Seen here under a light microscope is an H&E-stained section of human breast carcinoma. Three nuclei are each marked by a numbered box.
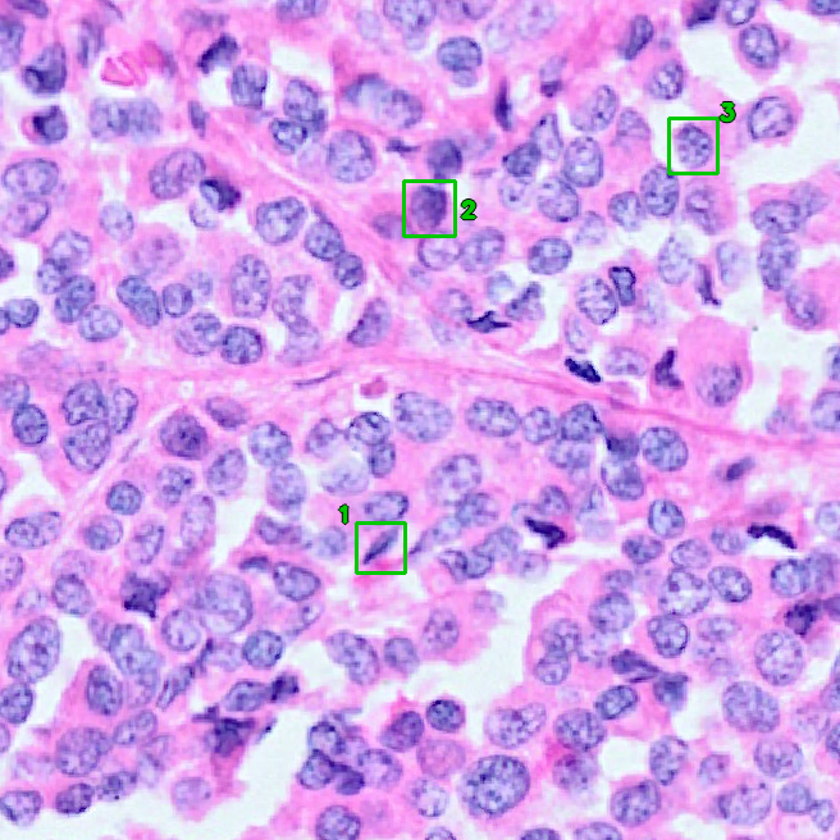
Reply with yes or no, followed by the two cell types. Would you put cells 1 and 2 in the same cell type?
No, in contrast to cell 2, which is a carcinoma cell, cell 1 is an endothelial cell.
